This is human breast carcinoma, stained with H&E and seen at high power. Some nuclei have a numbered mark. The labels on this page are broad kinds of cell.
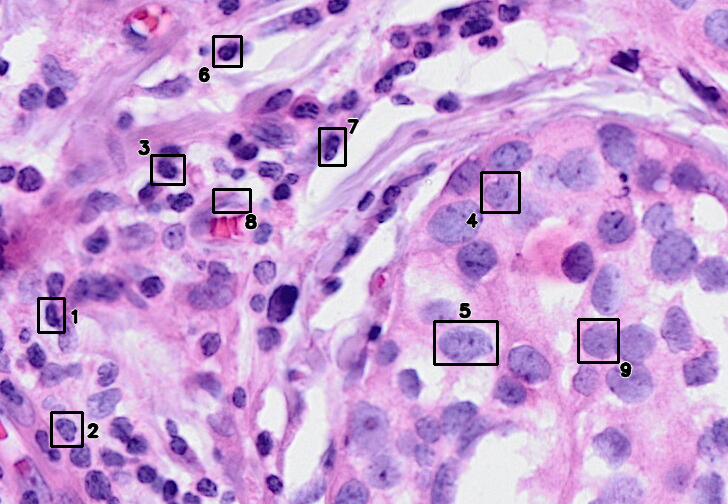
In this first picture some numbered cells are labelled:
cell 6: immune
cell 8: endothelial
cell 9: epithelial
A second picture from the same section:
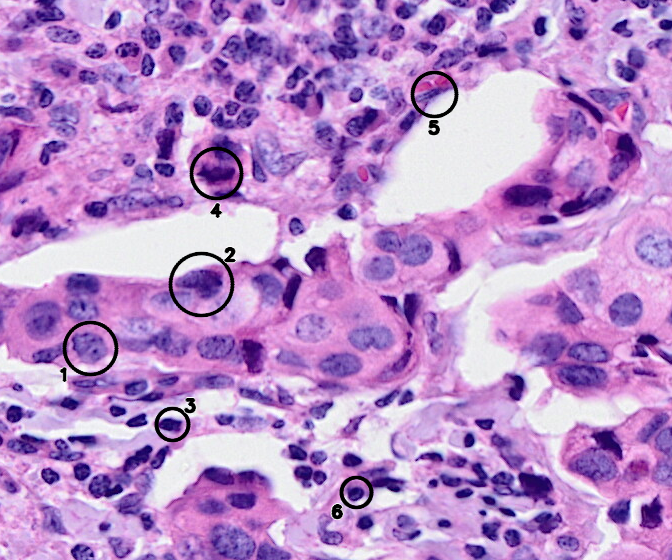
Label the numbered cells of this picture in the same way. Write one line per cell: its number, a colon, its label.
1: epithelial
2: epithelial
3: immune
4: epithelial
5: endothelial
6: immune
